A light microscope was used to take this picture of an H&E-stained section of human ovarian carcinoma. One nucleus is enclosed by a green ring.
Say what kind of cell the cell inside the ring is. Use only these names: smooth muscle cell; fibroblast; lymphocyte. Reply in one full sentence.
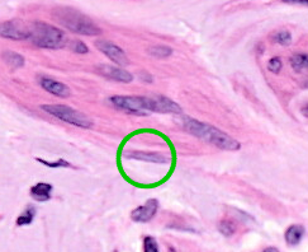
The cell inside the ring is a smooth muscle cell.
